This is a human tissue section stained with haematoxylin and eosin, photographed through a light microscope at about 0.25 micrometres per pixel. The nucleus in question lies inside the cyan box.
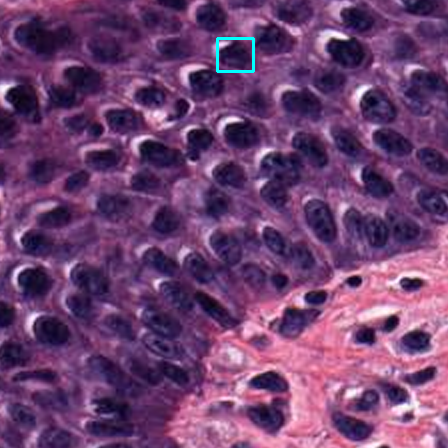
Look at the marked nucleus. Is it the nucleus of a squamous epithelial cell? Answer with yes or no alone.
yes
